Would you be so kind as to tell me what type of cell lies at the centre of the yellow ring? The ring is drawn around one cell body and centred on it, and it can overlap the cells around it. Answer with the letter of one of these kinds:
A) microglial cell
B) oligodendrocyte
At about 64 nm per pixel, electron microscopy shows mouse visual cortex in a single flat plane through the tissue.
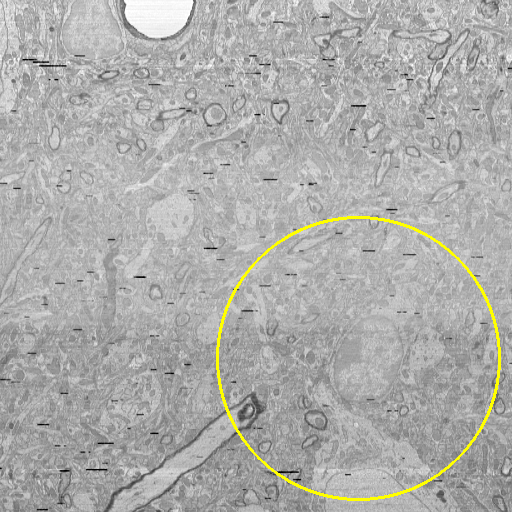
B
